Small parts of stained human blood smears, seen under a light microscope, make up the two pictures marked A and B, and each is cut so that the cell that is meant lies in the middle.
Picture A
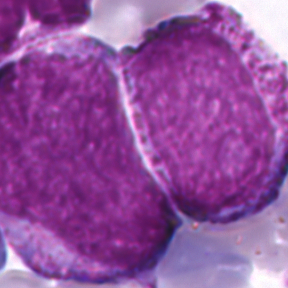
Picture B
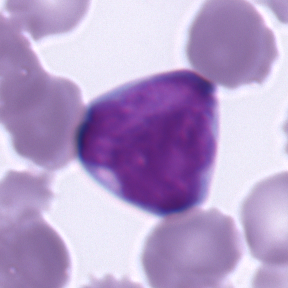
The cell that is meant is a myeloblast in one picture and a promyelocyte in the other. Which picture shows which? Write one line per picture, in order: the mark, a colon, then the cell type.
A: promyelocyte
B: myeloblast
